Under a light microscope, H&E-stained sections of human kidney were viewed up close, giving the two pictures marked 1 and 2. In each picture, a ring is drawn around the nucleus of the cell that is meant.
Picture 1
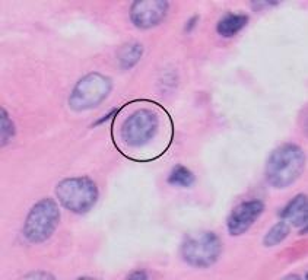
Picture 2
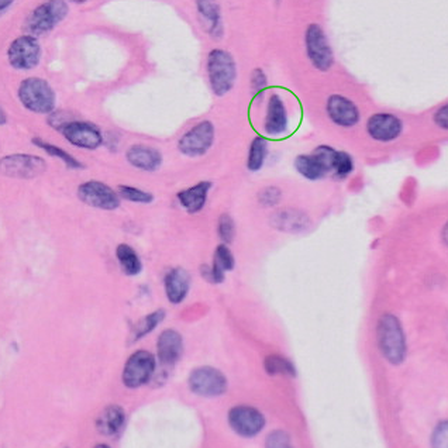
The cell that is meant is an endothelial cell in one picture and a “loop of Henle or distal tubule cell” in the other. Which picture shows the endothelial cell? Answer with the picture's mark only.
2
